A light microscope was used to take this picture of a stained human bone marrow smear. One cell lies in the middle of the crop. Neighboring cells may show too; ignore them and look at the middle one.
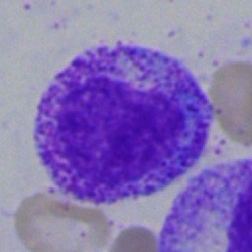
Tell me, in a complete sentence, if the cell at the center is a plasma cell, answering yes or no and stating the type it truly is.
No, the central cell qualifies as a myelocyte rather than as a plasma cell.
